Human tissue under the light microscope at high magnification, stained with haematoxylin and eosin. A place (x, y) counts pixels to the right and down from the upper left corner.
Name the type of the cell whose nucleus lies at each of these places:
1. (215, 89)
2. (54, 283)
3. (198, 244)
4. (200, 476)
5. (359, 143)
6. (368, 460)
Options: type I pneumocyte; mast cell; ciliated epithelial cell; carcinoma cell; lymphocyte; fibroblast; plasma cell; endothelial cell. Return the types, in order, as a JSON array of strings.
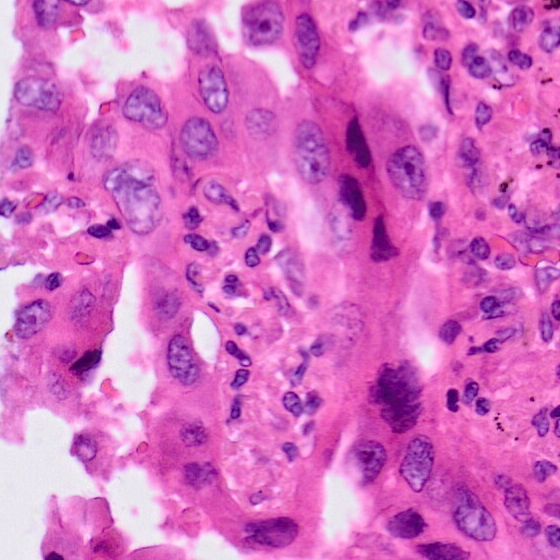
["carcinoma cell", "lymphocyte", "lymphocyte", "carcinoma cell", "carcinoma cell", "carcinoma cell"]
